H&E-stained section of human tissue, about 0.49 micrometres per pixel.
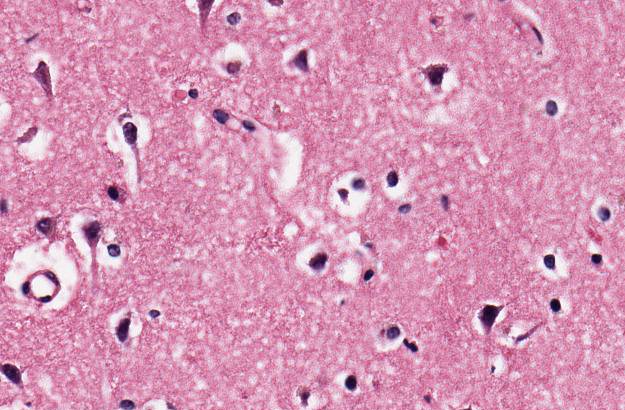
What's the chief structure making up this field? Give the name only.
cerebral cortex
